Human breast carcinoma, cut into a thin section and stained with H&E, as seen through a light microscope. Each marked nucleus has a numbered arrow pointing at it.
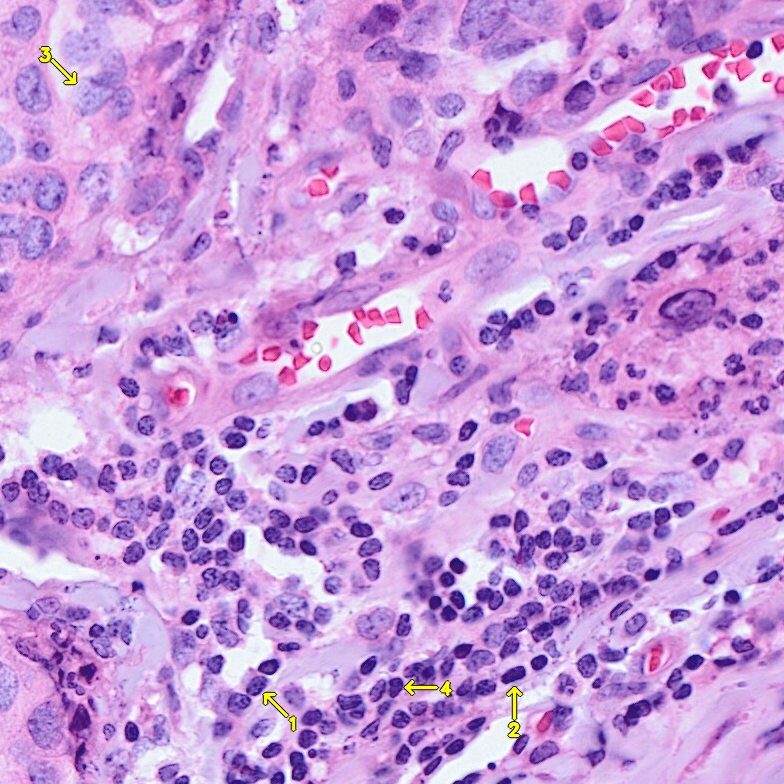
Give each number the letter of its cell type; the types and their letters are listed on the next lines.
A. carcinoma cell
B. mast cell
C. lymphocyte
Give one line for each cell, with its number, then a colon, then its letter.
1: C
2: C
3: A
4: C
